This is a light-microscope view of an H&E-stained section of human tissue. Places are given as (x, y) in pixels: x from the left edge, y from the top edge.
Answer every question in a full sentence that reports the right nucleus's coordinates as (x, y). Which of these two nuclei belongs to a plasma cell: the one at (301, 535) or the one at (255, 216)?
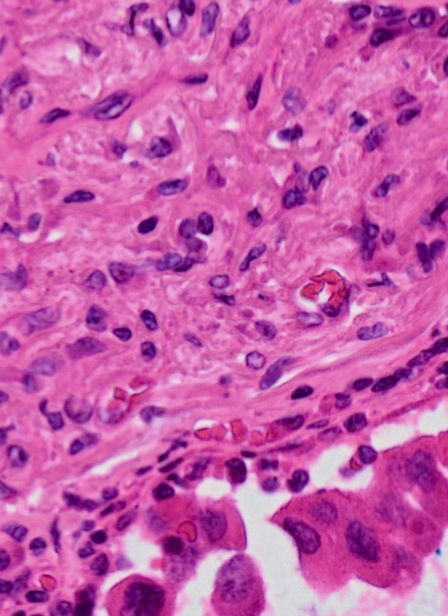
The nucleus of a plasma cell lies at (255, 216), not at the other position.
